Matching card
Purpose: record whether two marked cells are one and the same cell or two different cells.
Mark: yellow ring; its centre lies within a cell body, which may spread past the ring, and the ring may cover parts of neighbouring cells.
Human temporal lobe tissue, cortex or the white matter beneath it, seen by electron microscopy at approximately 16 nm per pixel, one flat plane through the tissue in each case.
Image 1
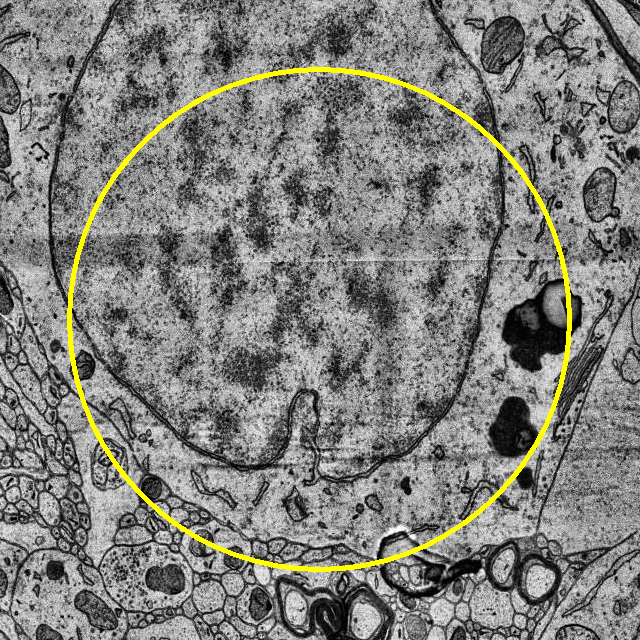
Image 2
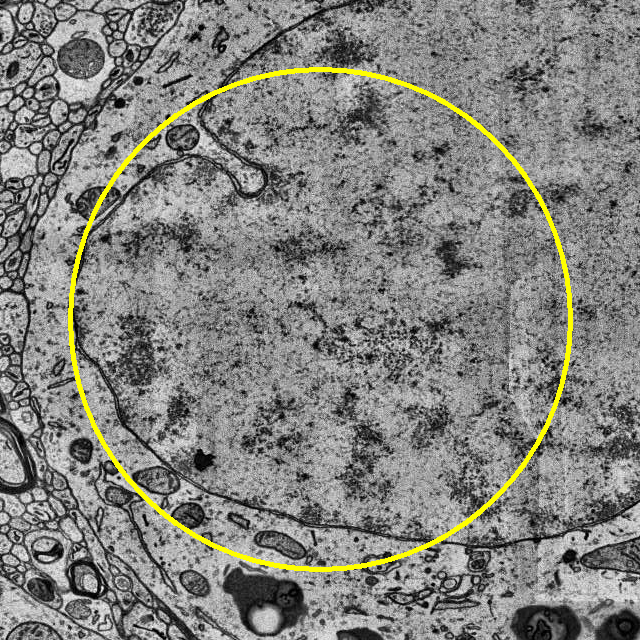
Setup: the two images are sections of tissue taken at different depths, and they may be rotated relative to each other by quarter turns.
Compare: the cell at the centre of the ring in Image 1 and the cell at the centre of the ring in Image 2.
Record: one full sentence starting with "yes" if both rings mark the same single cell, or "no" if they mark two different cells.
Yes, both rings identify a single, shared cell.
